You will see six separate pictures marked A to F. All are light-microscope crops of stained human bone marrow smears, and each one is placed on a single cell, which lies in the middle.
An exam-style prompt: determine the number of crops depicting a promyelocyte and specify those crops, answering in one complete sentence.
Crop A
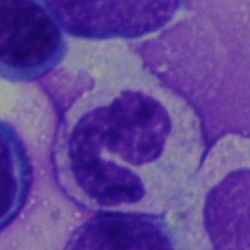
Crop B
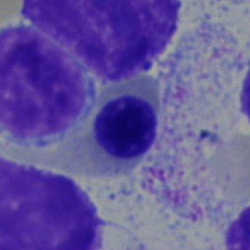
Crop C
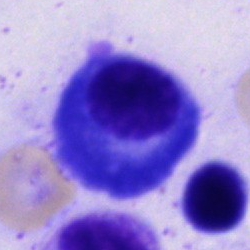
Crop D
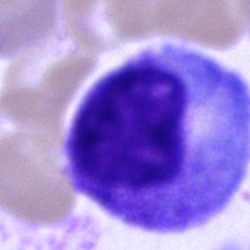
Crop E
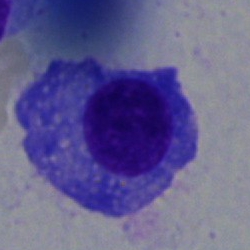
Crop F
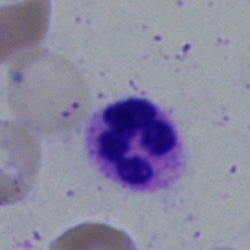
Exactly one of the crops contains a promyelocyte: crop D.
